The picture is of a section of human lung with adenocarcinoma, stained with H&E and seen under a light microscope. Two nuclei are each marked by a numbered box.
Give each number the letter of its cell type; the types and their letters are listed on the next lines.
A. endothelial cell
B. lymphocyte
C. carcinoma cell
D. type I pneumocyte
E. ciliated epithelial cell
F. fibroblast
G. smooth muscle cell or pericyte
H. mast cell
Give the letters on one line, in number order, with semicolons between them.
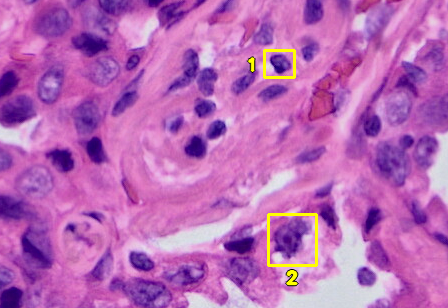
B; C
